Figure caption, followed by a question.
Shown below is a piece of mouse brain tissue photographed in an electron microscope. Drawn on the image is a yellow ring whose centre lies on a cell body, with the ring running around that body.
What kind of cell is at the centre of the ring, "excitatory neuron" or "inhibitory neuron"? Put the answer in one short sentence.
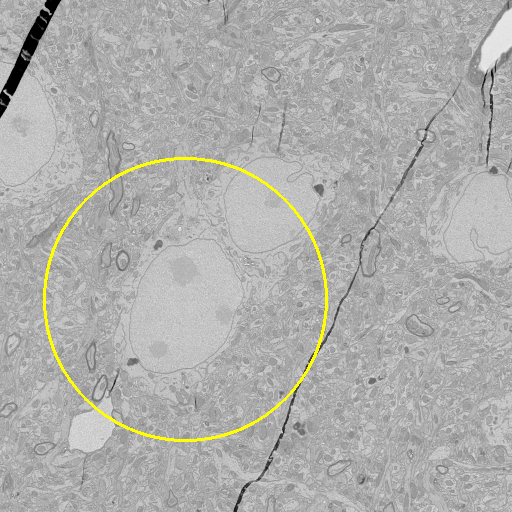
The ring marks the cell body of an excitatory neuron.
